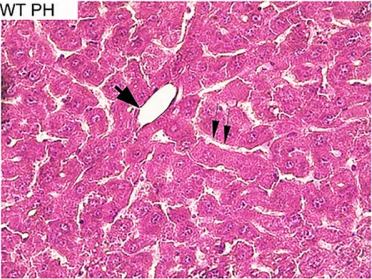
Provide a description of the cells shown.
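This is liver parenchyma at higher magnification, with hepatocytes arranged around a central vein. The vein is an oval empty lumen with a thin wall, marked by a thick arrow. Hepatocytes are large polygonal cells with evenly pink cytoplasm and round central nuclei, several containing two nuclei. They lie in cords that run toward the vein, separated by narrow clear channels, the sinusoids, indicated by small arrowheads. The overall arrangement is orderly and even.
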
